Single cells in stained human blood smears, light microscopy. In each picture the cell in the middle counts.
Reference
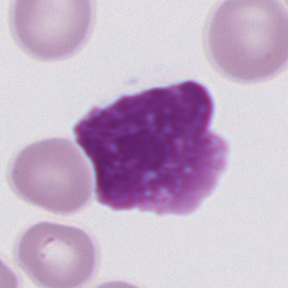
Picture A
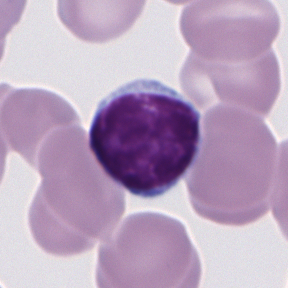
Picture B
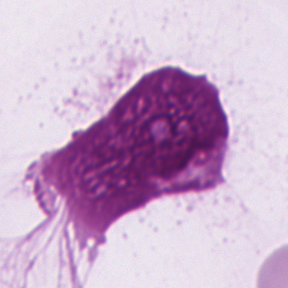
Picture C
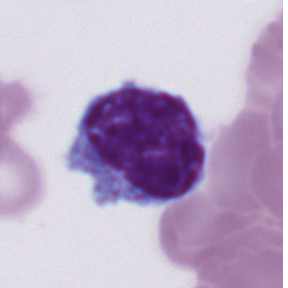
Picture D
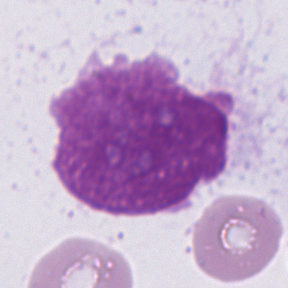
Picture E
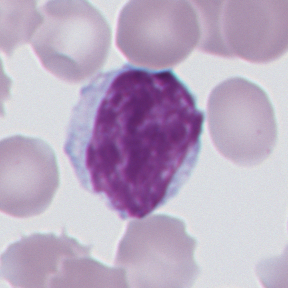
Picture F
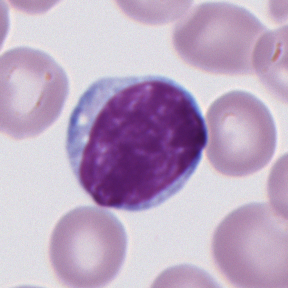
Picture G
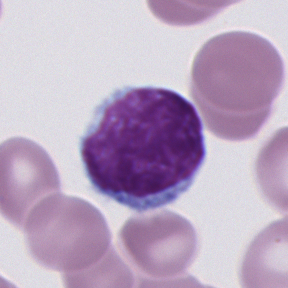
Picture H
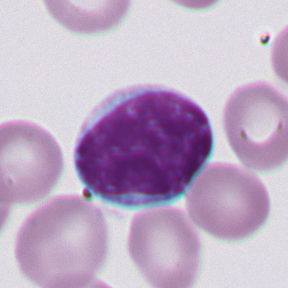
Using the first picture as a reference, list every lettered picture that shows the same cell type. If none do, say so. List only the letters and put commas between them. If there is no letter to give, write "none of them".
B, D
